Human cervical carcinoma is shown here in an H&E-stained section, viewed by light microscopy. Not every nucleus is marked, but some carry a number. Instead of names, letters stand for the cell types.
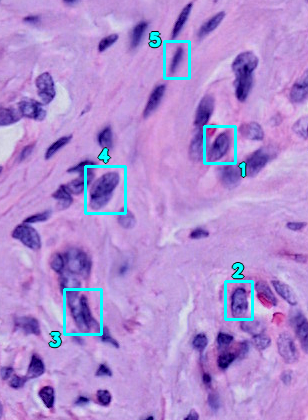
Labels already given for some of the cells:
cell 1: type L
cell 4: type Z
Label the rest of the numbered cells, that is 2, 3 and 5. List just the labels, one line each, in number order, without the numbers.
type L
type L
type Z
